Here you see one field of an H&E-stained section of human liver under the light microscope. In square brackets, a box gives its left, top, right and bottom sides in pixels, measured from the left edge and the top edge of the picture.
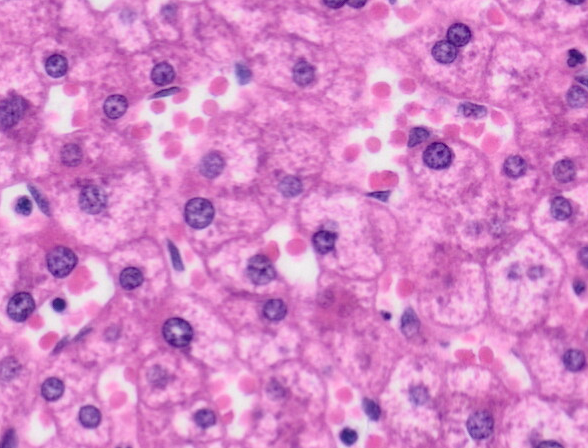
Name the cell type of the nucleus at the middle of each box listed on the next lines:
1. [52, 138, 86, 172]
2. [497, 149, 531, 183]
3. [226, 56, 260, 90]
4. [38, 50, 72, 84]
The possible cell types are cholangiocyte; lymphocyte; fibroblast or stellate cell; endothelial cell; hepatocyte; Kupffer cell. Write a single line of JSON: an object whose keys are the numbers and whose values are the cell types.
{"1": "hepatocyte", "2": "hepatocyte", "3": "endothelial cell", "4": "hepatocyte"}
